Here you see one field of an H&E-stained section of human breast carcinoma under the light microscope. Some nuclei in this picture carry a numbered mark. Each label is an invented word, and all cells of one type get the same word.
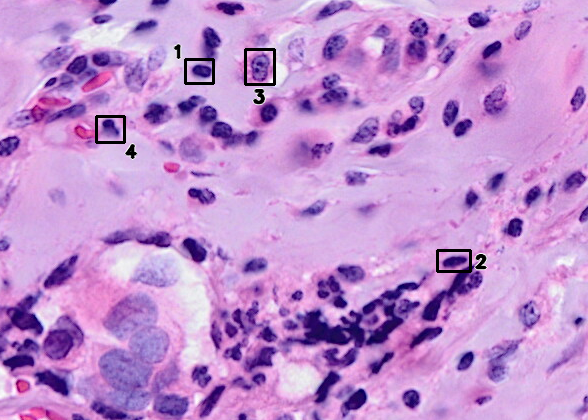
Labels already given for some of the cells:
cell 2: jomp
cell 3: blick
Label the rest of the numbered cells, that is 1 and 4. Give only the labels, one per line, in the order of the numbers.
jomp
jomp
